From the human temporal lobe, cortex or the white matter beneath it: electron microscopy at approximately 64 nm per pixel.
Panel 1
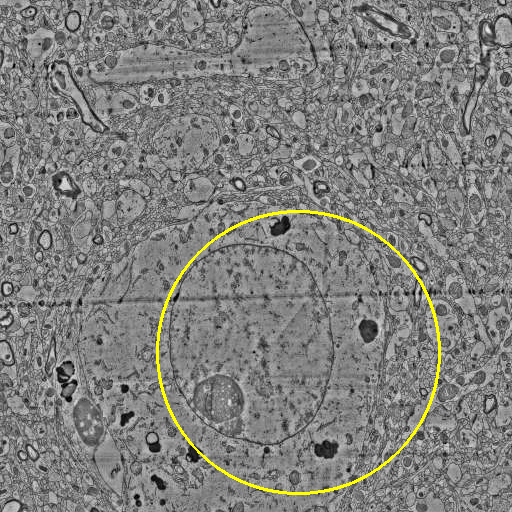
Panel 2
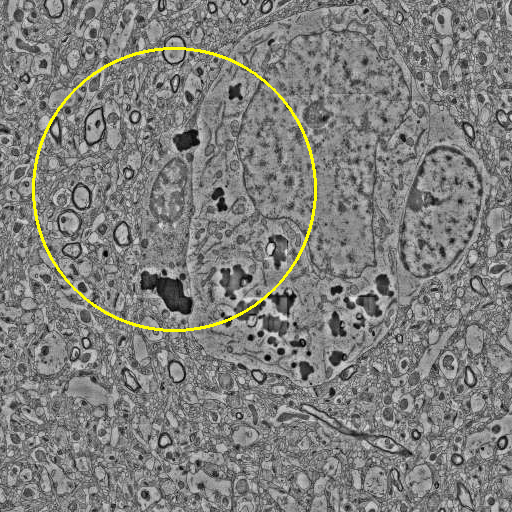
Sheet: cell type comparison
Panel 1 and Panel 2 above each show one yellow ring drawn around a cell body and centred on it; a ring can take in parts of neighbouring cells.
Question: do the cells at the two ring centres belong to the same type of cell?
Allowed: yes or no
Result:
no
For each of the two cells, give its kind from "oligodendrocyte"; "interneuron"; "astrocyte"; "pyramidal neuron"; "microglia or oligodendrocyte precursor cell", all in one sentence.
The first picture has a pyramidal neuron in its ring, the second has an oligodendrocyte.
